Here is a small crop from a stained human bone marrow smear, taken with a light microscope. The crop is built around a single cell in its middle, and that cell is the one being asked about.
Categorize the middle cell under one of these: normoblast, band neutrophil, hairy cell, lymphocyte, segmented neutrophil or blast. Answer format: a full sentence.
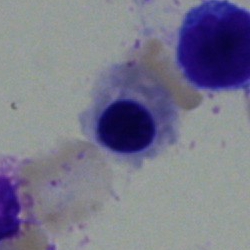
In the crop, the cell of interest at the centre is a normoblast.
